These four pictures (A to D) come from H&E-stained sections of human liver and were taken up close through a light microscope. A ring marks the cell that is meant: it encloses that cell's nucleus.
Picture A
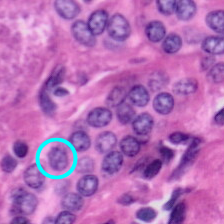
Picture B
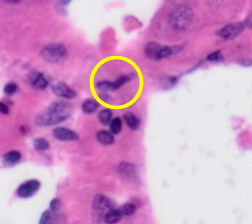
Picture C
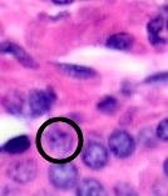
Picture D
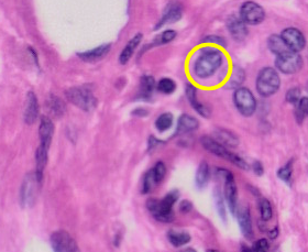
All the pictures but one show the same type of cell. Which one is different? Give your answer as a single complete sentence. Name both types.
Picture B is the odd one out: it shows a “fibroblast or stellate cell”, while the others show cholangiocytes.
